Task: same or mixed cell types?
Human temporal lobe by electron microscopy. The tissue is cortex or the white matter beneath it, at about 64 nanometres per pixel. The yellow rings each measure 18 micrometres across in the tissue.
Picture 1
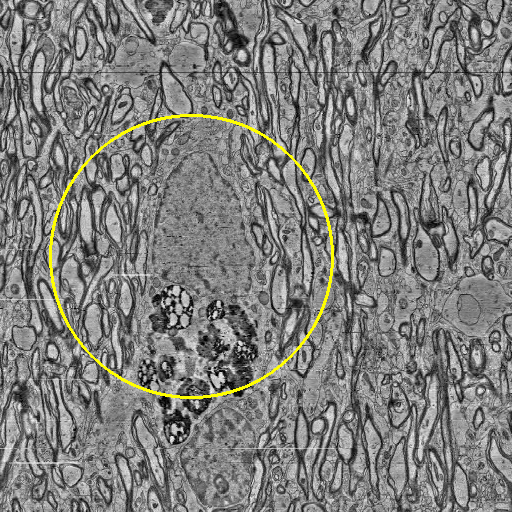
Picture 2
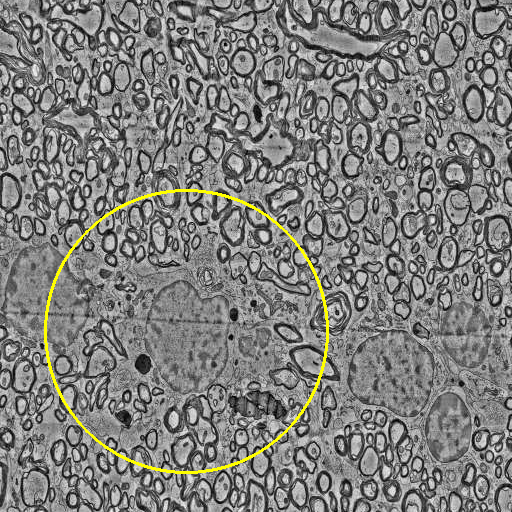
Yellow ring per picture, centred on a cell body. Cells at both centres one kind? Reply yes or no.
no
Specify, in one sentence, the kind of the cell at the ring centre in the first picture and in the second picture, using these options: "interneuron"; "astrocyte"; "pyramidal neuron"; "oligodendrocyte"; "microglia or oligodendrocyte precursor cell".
So the first is an astrocyte, the second an oligodendrocyte.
